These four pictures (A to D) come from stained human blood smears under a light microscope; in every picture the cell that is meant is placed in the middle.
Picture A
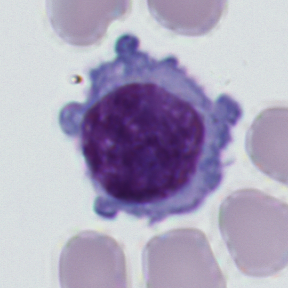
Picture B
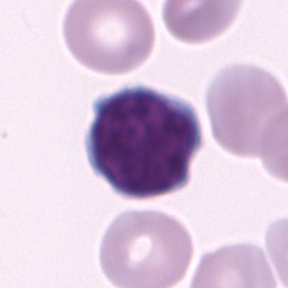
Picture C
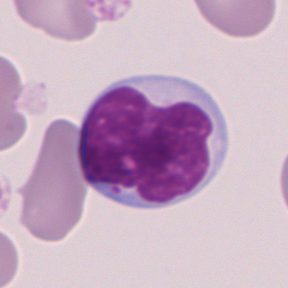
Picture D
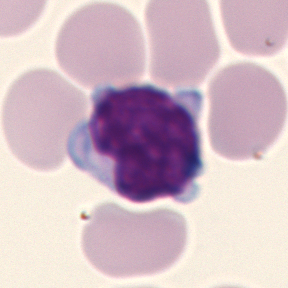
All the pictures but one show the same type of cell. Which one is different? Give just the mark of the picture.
A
